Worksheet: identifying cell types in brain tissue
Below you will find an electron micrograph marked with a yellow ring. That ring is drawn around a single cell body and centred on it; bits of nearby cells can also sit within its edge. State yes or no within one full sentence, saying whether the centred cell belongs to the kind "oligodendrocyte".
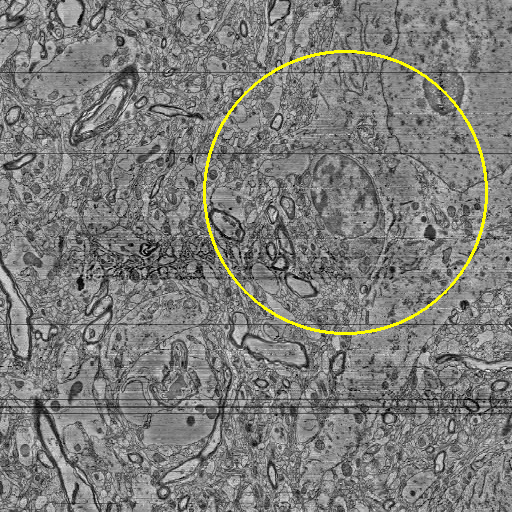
Yes, the cell sitting at the centre of the yellow ring in this picture is of that kind.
